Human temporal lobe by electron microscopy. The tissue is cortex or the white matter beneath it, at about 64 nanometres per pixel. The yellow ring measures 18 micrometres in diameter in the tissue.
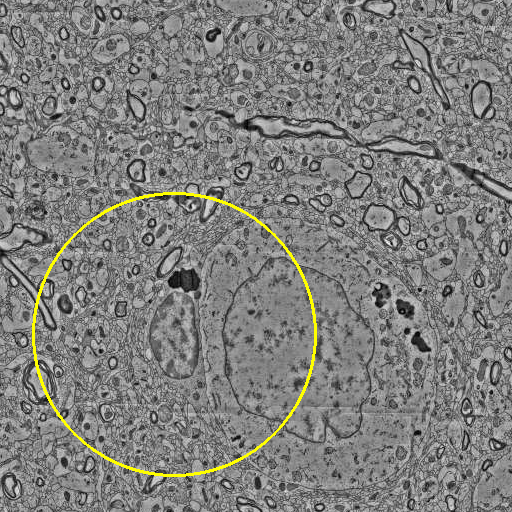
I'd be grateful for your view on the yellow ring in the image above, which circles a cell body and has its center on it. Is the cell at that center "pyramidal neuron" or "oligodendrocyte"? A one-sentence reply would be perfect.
The cell at the center of the yellow ring is an oligodendrocyte.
